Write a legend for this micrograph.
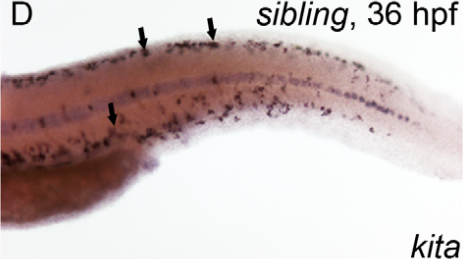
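Lateral view of the trunk and tail of an embryo with many discrete, small, dark stained cells. Individual cells are round to slightly irregular dots, with denser clusters towards the anterior trunk. The tail tip posteriorly is largely free of stained cells. The yolk lies at lower left with brownish tone.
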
